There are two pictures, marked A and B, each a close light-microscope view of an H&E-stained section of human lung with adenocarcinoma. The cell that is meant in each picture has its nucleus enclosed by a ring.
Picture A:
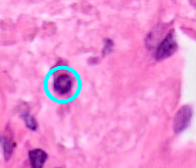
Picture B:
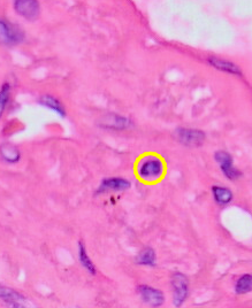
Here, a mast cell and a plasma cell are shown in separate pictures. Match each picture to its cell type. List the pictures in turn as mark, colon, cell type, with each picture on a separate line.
A: plasma cell
B: mast cell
